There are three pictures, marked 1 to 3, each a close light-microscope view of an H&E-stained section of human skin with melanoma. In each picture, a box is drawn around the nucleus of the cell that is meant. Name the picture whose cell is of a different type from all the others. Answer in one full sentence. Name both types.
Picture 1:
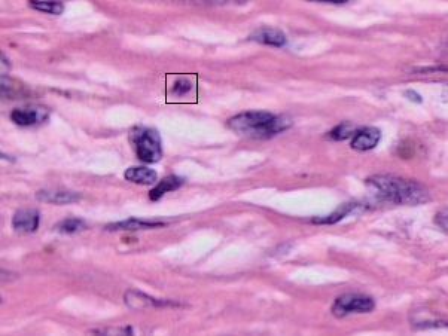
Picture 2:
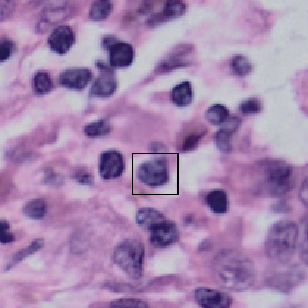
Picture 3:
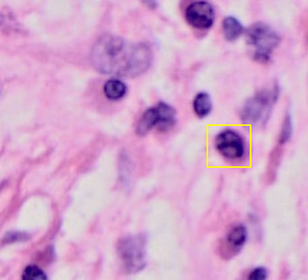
The different one is picture 3; it shows a plasma cell, whereas all the others show lymphocytes.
